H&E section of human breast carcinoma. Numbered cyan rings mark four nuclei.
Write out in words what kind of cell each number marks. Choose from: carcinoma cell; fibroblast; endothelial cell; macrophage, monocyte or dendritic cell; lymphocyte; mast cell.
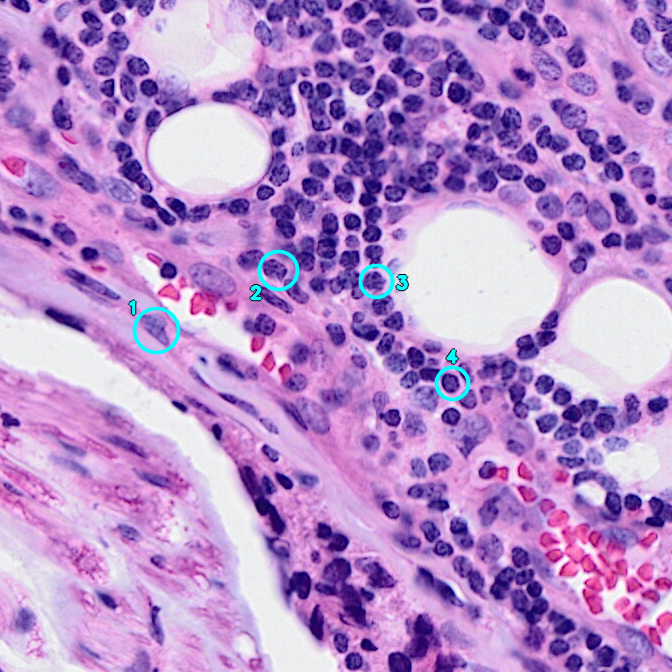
Cell 1 is an endothelial cell. Cells 2, 3 and 4 are lymphocytes.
